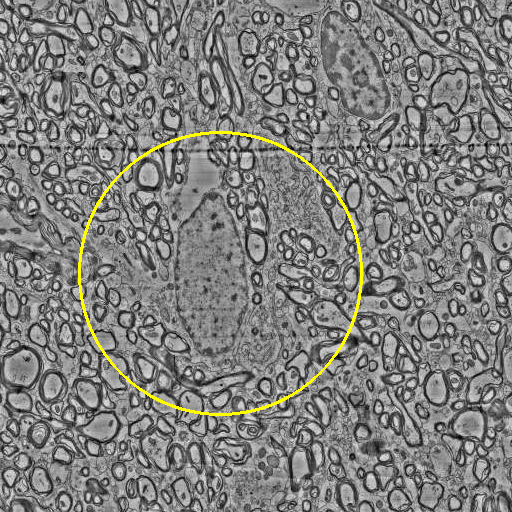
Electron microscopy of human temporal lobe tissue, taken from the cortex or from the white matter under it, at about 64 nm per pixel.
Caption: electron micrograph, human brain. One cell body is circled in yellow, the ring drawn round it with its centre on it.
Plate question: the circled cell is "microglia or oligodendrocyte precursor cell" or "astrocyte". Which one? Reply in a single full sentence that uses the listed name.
The yellow ring on the plate is centred on an astrocyte, going by the listed names.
